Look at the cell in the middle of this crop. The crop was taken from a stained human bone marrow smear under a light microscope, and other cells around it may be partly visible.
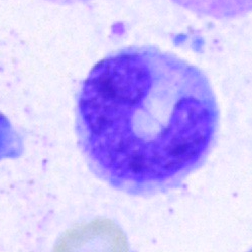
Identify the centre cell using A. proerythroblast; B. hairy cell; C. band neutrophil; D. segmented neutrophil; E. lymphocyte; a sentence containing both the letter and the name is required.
The cell positioned centrally is a band neutrophil, as given in option C, which is correct.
